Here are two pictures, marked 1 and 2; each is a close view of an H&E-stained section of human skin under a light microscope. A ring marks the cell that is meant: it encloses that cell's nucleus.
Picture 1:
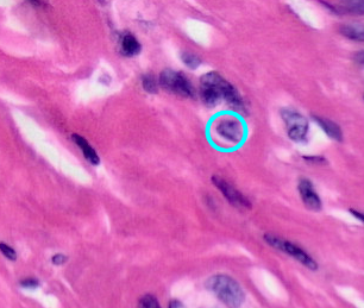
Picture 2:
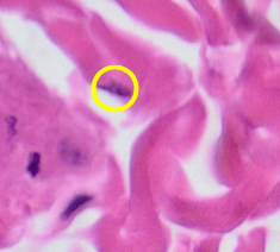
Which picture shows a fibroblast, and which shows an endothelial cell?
1: endothelial cell
2: fibroblast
